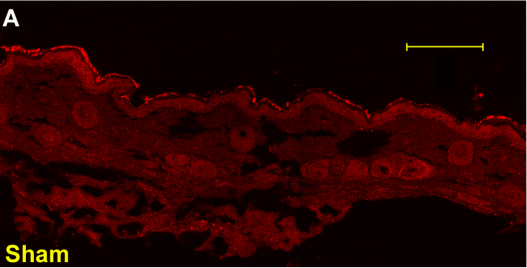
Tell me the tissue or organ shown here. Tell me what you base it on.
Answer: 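Skin. A thin, brighter, wavy surface layer runs along the top edge of the section. Beneath it lies a thicker layer holding rounded, ring-like profiles.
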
